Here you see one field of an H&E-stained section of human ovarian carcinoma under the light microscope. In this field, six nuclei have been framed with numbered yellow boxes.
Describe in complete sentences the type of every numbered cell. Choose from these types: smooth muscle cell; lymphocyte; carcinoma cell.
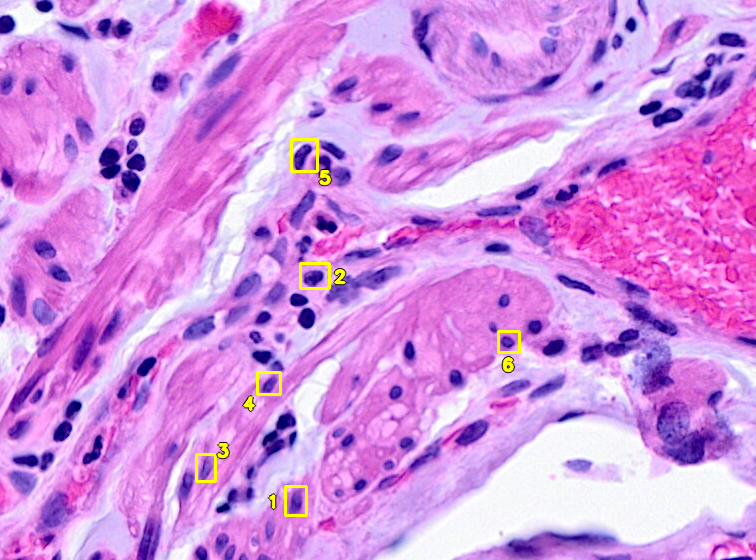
Cell 1 is a smooth muscle cell, cell 2 is a lymphocyte, cell 3 is a smooth muscle cell, cell 4 is a smooth muscle cell, cell 5 is a lymphocyte and cell 6 is a smooth muscle cell.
